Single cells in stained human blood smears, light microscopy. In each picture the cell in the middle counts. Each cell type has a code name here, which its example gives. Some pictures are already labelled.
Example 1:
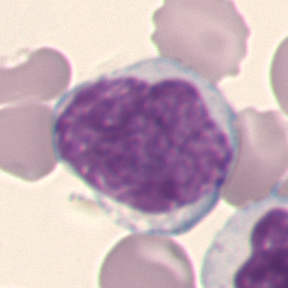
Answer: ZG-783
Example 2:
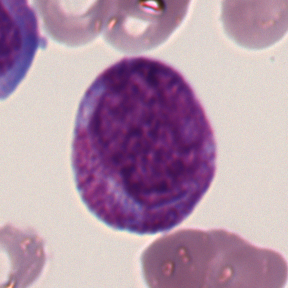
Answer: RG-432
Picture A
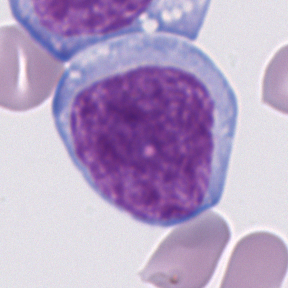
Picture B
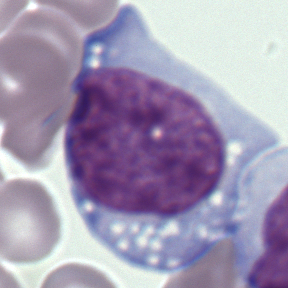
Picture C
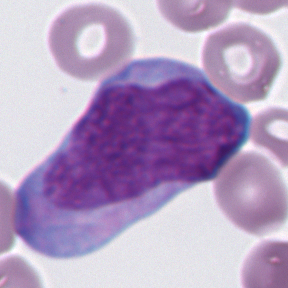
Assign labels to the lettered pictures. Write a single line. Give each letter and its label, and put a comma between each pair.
A ZG-783, B ZG-783, C RG-432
